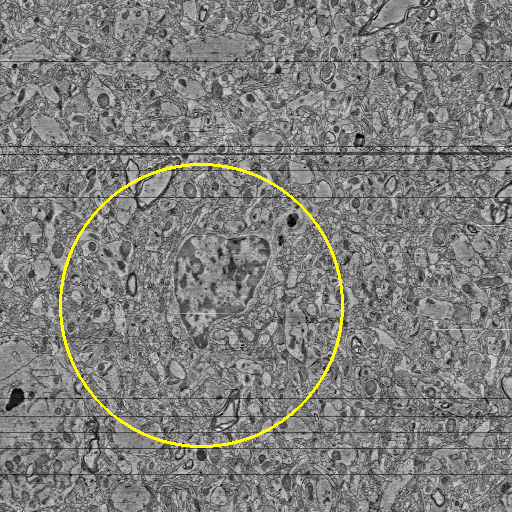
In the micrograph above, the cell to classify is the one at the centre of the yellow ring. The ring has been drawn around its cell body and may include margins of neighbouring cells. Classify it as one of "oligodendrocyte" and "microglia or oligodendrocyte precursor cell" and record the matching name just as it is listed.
microglia or oligodendrocyte precursor cell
